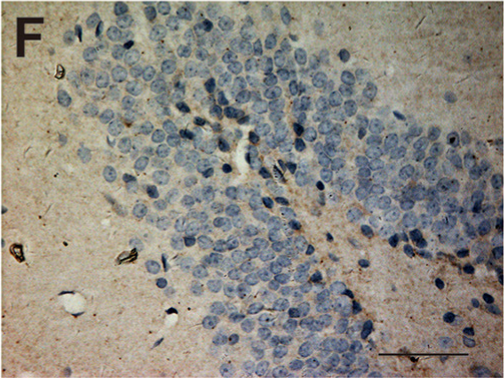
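Dentate gyrus with a broad, densely packed band of small granule cells. Their nuclei are round, uniform and stained blue, lying closely side by side with scant cytoplasm between them. The surrounding tissue is pale with only scattered nuclei, and faint brown staining lies among the cells and at the edges of the band.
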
